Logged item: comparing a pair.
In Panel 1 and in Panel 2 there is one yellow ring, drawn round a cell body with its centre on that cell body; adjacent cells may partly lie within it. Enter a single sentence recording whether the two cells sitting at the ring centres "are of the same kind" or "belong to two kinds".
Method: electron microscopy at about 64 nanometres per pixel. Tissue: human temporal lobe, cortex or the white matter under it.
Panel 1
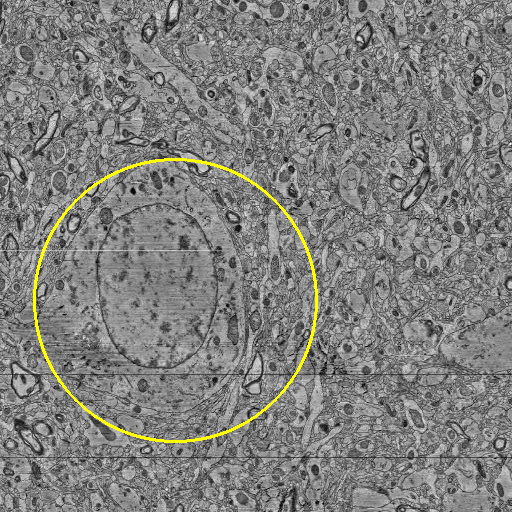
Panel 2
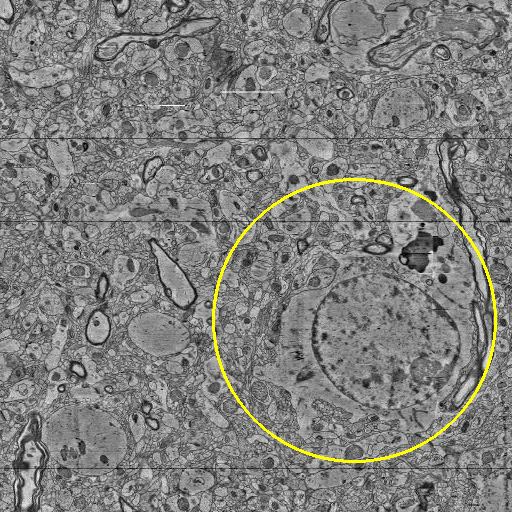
Logged: the cells centred in the rings of Panel 1 and Panel 2 belong to two kinds.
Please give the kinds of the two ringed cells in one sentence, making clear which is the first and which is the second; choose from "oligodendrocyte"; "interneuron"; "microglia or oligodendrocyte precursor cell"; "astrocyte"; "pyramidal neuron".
In the second picture the ringed cell is an astrocyte; in the first it is a pyramidal neuron.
